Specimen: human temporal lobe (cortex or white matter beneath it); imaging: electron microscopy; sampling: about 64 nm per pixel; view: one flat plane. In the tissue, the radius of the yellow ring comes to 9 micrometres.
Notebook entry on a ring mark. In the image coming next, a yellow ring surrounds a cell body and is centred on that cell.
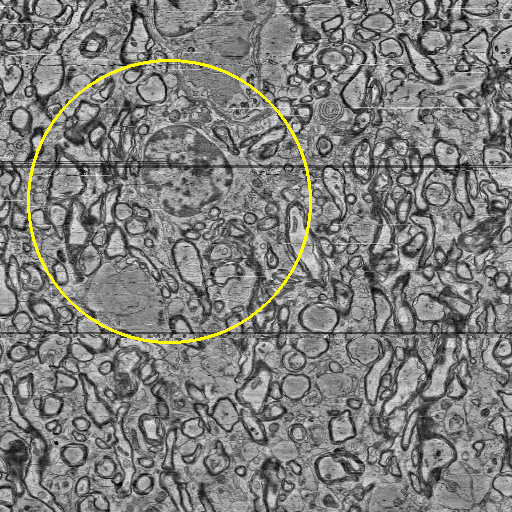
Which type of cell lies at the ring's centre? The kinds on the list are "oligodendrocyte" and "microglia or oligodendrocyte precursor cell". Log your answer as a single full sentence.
Centred in the yellow ring is a microglial cell or oligodendrocyte precursor cell, the cell recorded for this image.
